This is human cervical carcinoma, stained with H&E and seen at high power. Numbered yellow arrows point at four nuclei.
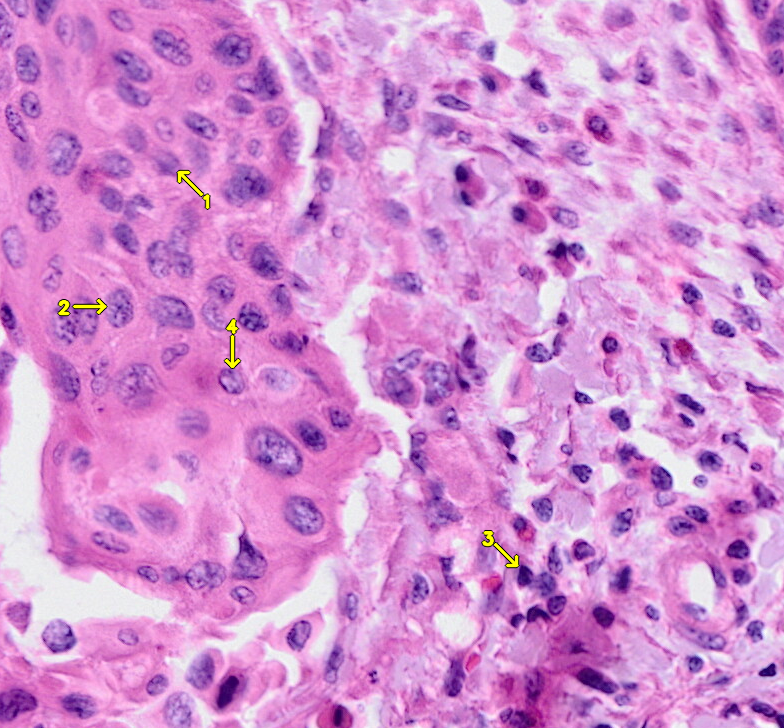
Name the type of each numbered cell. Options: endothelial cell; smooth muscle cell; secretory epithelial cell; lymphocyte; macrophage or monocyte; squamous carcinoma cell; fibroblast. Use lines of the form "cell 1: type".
cell 1: squamous carcinoma cell
cell 2: squamous carcinoma cell
cell 3: lymphocyte
cell 4: squamous carcinoma cell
